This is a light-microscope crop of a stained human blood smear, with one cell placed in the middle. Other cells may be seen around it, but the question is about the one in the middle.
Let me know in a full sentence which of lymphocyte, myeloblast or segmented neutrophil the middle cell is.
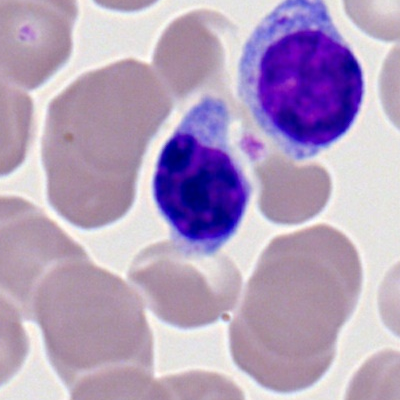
By classification, the middle cell of this crop is a lymphocyte.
